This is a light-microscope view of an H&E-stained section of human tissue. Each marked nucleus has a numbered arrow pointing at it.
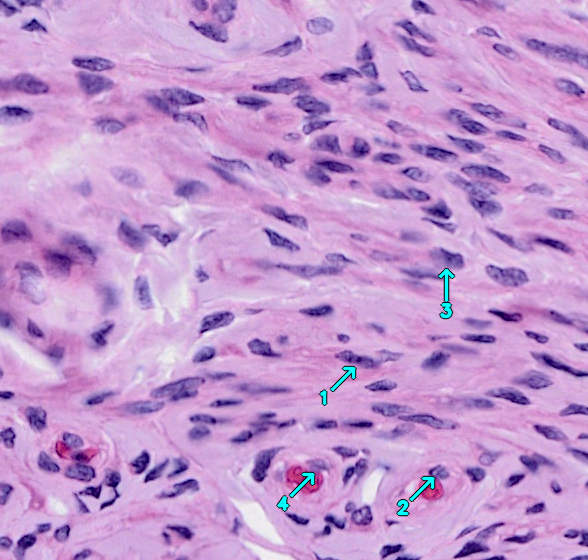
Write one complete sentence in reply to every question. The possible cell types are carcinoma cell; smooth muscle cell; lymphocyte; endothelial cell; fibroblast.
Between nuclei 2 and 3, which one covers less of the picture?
The smaller nucleus is 2, and 3 covers roughly 2.5 times its area.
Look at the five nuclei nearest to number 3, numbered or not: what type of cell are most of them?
Smooth muscle cells account for more than half of the five nuclei nearest to number 3.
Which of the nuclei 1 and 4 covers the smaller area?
With nucleus 1 about 2.5 times its size, nucleus 4 is the smaller of the two.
